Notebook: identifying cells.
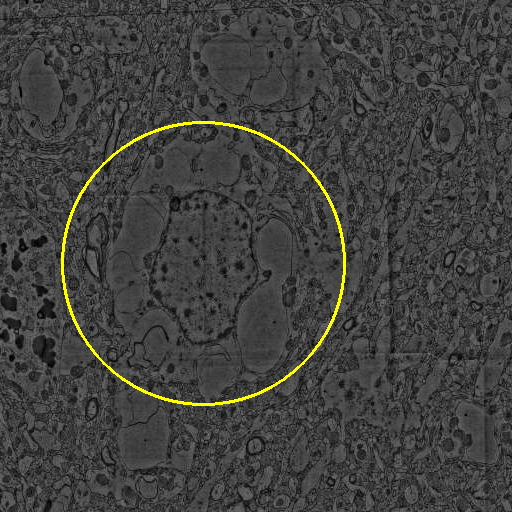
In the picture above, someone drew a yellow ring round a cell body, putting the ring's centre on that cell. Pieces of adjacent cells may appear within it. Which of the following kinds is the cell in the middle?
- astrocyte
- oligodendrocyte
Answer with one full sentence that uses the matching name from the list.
In this picture, the yellow ring is centred on the body of an astrocyte.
